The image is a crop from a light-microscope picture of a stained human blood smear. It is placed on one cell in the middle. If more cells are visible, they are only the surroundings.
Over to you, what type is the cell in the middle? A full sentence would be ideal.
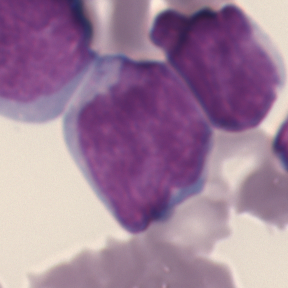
Of the cells in this crop, the central one is a myeloblast.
